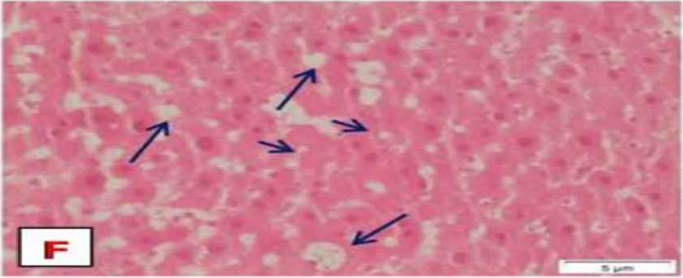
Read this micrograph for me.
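This section of liver parenchyma shows pink hepatocytes with rounded, slightly darker nuclei, among which lie numerous clear, empty vacuoles. The vacuoles vary in size, from small spaces to larger round holes. The regular cord arrangement of the cells is less distinct than in normal liver.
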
